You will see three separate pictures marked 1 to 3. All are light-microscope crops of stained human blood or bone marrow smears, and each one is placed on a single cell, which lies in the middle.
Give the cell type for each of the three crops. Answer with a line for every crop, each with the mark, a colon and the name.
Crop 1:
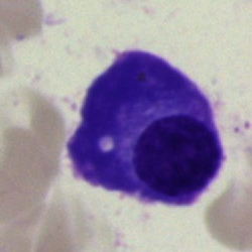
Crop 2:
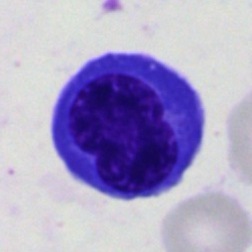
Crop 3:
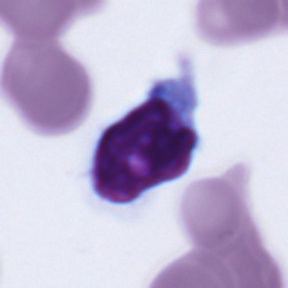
1: plasma cell
2: plasma cell
3: lymphocyte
